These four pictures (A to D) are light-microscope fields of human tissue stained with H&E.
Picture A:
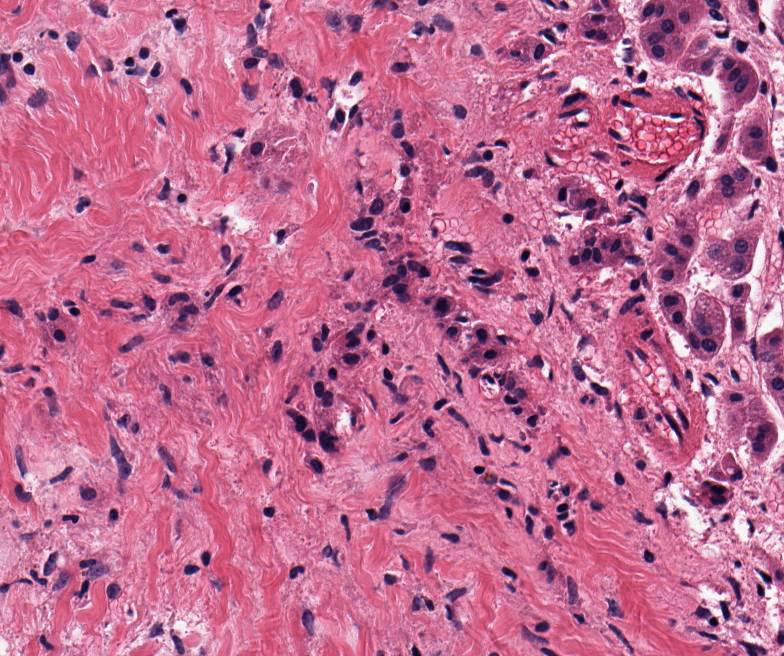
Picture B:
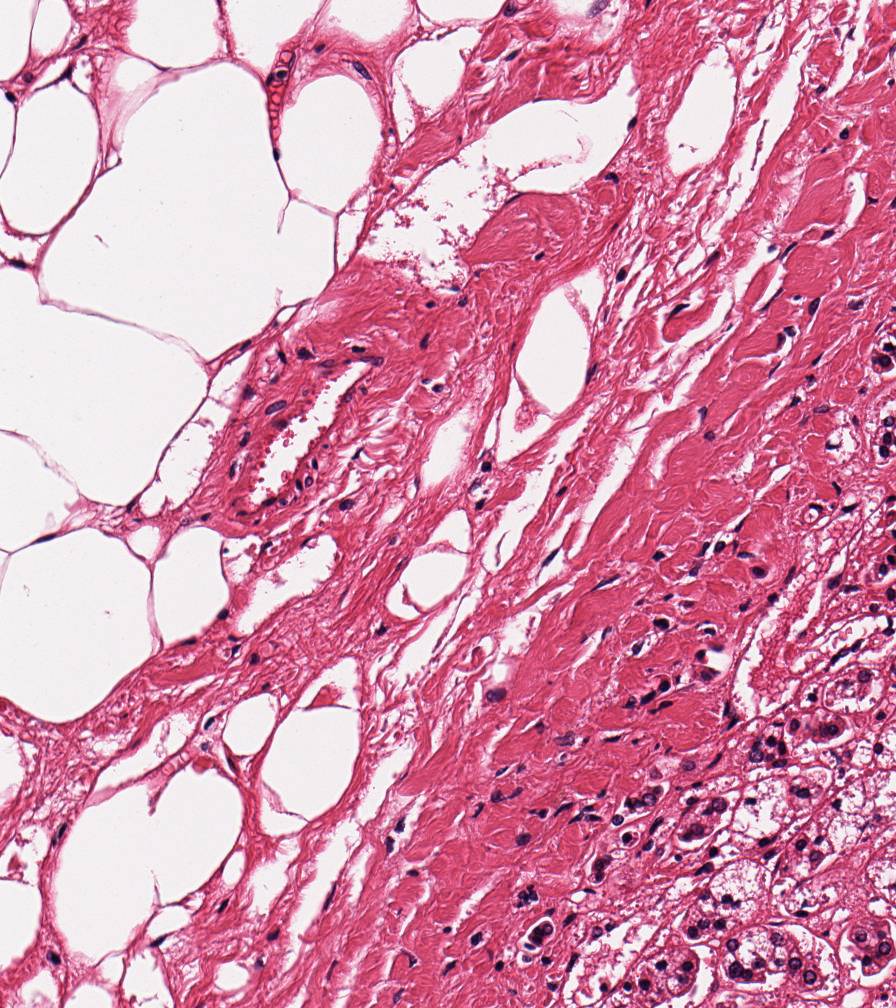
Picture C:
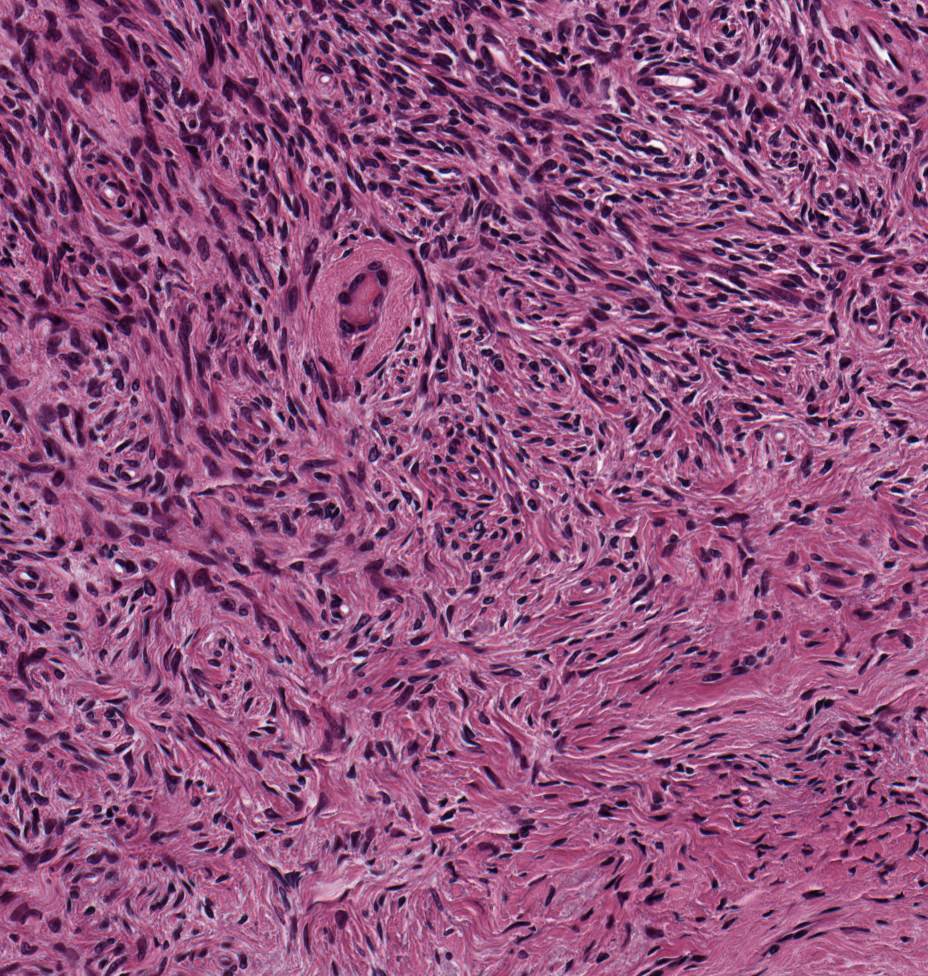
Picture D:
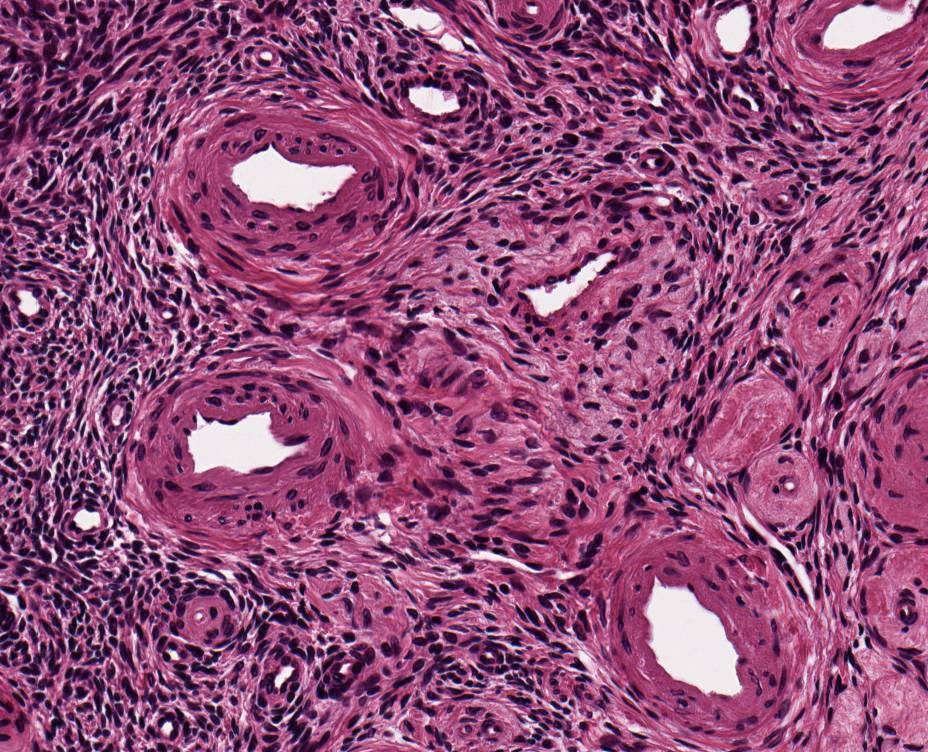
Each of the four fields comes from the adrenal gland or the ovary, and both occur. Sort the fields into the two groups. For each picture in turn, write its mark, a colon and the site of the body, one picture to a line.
A: adrenal gland
B: adrenal gland
C: ovary
D: ovary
